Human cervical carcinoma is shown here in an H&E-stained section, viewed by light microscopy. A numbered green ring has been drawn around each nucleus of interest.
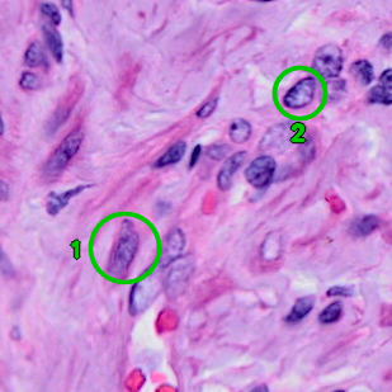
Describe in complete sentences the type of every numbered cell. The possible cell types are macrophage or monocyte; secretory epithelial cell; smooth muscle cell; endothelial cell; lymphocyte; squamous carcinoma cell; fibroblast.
Cell 1 is a smooth muscle cell. Cell 2 is an endothelial cell.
